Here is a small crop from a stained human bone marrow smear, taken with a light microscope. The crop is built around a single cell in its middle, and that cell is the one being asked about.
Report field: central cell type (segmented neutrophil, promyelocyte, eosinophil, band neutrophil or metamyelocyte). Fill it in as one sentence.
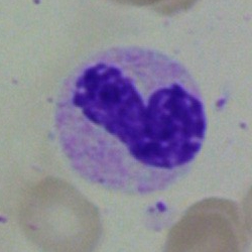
The middle of this crop is occupied by a band neutrophil.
